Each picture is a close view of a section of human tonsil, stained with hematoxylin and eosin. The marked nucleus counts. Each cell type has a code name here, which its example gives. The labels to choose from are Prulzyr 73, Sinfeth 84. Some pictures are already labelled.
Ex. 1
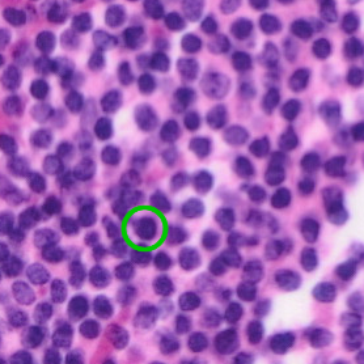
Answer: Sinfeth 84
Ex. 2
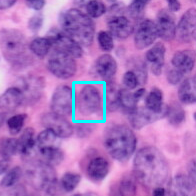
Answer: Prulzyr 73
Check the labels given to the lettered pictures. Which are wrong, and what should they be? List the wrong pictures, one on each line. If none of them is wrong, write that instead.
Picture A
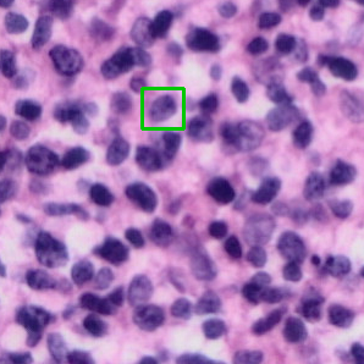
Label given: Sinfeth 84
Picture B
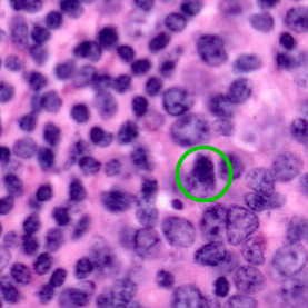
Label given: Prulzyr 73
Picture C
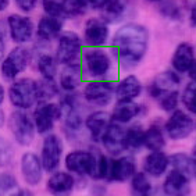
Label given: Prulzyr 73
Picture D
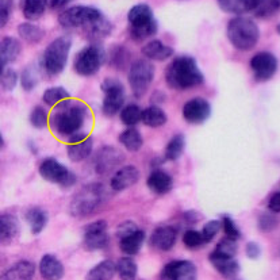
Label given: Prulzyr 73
A: not Sinfeth 84 but Prulzyr 73
C: not Prulzyr 73 but Sinfeth 84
